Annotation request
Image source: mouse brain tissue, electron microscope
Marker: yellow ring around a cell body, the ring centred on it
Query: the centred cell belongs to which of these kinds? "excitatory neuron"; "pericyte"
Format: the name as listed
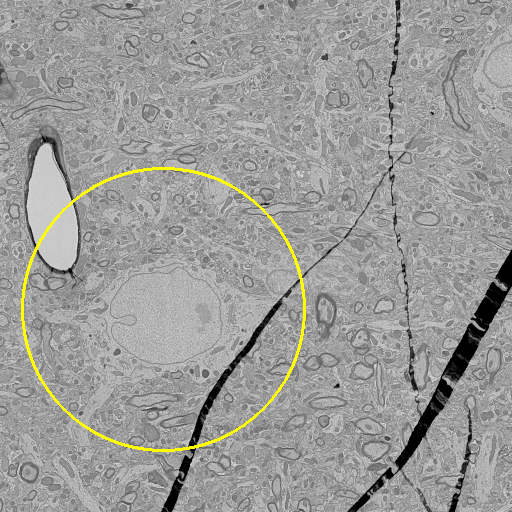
excitatory neuron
